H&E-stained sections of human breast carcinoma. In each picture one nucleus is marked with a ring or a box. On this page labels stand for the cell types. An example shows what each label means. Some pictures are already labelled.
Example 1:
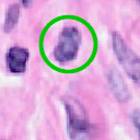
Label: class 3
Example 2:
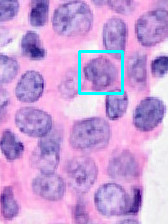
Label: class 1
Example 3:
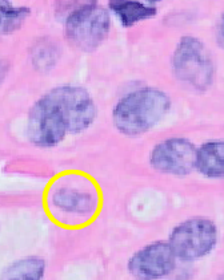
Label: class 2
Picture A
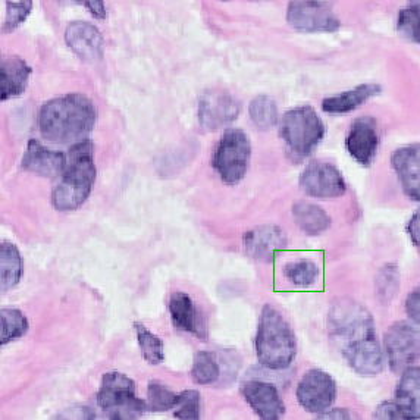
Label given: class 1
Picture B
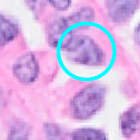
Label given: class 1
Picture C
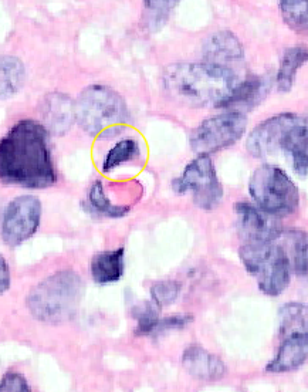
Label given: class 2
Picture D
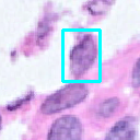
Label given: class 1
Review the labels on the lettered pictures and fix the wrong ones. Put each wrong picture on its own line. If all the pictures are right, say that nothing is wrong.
A is labelled class 1; correct label: class 3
